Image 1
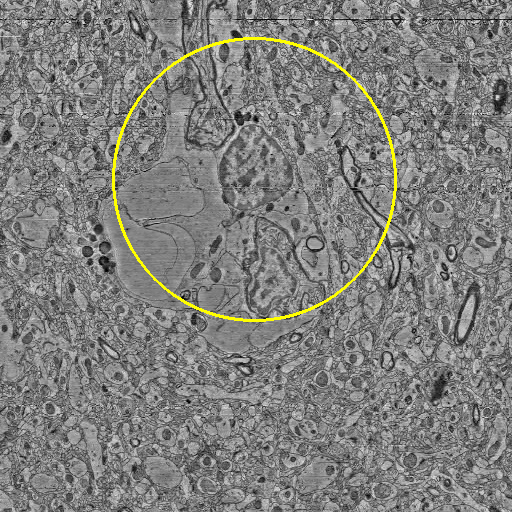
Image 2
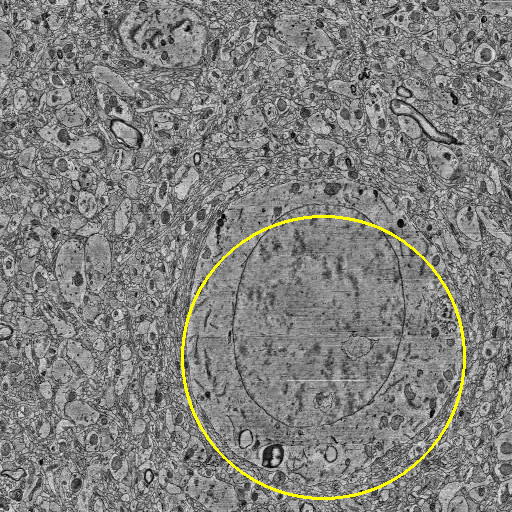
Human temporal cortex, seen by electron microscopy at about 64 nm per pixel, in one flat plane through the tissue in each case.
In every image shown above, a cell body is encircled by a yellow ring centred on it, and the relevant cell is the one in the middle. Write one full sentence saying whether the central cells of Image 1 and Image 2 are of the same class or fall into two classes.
The cell at the ring's centre in Image 1 and its counterpart in Image 2 fall into two classes.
